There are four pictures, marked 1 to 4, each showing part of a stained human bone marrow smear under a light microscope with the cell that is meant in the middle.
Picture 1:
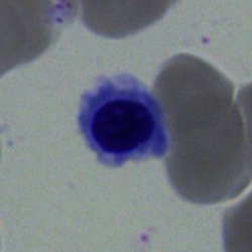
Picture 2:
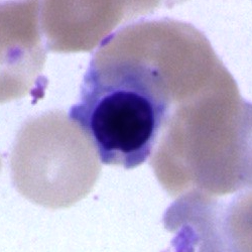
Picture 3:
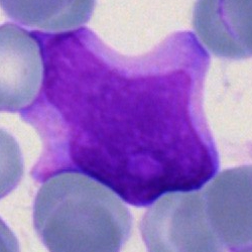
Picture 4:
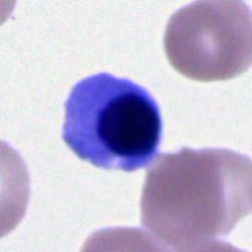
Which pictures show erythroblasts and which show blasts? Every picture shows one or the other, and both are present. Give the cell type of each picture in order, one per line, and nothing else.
erythroblast
erythroblast
blast
erythroblast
